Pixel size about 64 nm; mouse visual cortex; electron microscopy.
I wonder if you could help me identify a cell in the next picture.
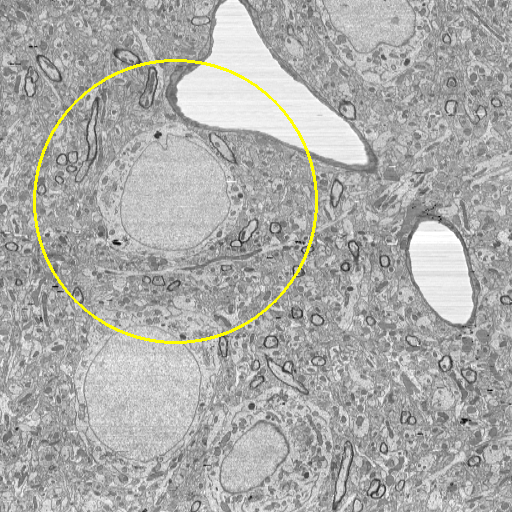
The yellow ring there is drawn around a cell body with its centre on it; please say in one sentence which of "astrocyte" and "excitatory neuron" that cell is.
The yellow ring is centred on an excitatory neuron.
